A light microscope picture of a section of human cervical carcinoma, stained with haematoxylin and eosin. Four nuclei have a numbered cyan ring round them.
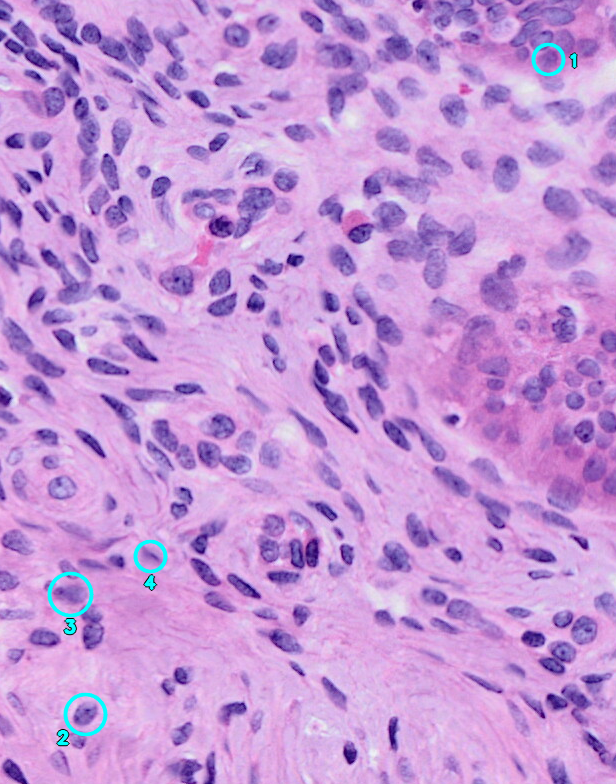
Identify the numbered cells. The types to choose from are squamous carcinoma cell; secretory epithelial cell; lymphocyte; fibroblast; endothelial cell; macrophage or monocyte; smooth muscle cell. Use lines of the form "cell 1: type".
cell 1: secretory epithelial cell
cell 2: fibroblast
cell 3: fibroblast
cell 4: fibroblast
